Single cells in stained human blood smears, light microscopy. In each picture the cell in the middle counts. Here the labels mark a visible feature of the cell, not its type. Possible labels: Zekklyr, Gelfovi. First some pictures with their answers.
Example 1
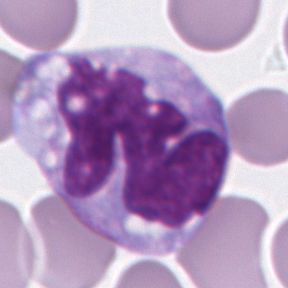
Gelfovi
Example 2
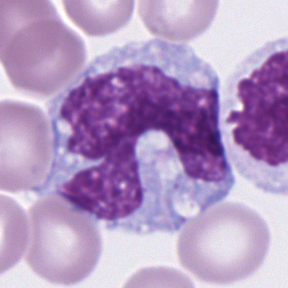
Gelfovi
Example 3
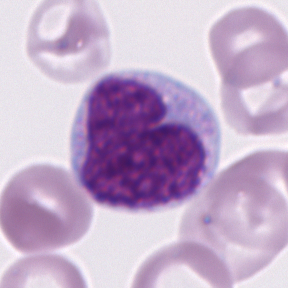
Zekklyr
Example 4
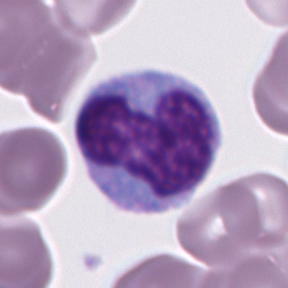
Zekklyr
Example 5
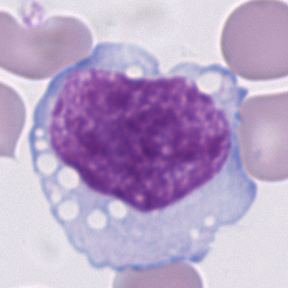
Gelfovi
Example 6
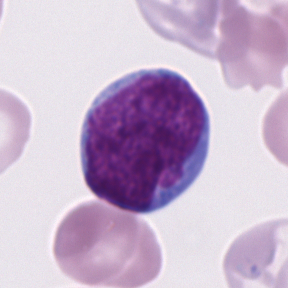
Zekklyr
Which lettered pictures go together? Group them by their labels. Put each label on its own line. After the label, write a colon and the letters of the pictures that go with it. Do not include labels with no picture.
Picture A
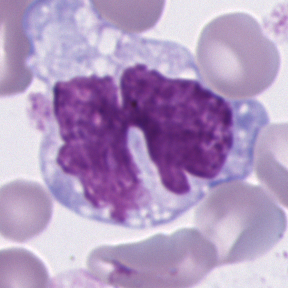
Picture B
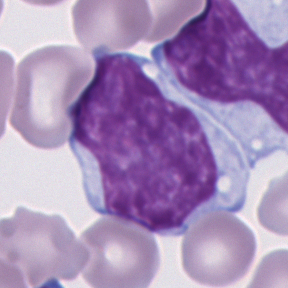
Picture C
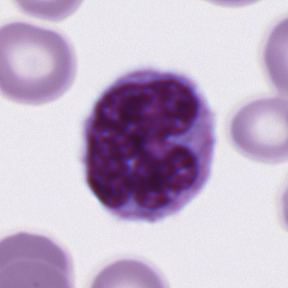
Zekklyr: C
Gelfovi: A, B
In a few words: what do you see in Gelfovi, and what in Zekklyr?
In Gelfovi: vacuoles present. In Zekklyr: no vacuoles.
